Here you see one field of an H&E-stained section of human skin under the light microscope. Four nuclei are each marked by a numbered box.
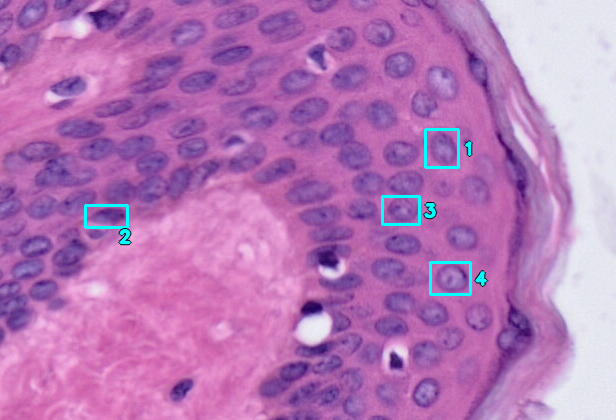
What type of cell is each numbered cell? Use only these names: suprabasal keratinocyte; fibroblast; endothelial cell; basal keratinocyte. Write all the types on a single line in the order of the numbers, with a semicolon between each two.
suprabasal keratinocyte; basal keratinocyte; suprabasal keratinocyte; suprabasal keratinocyte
